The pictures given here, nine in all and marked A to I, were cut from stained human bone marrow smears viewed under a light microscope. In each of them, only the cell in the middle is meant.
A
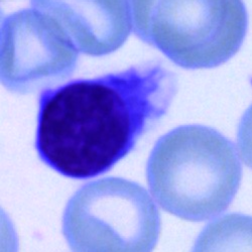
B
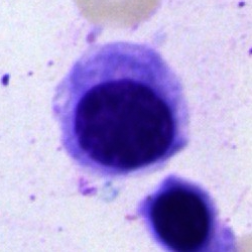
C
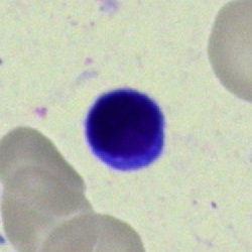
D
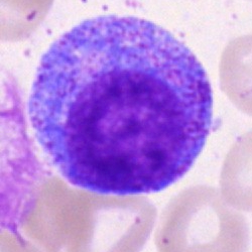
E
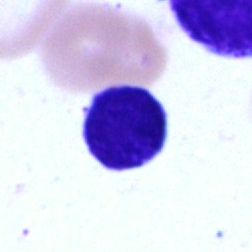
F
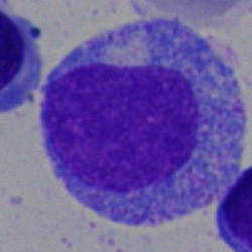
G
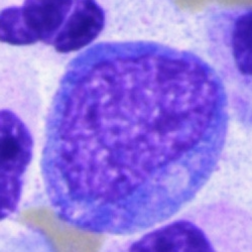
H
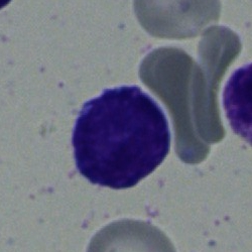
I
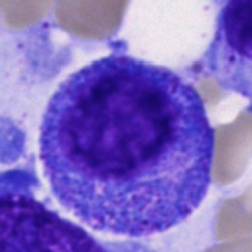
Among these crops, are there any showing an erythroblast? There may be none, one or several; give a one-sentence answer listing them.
Only crop B has an erythroblast as its central cell.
